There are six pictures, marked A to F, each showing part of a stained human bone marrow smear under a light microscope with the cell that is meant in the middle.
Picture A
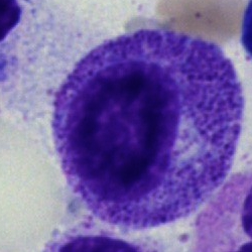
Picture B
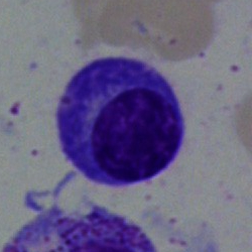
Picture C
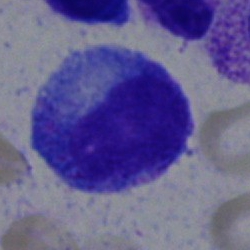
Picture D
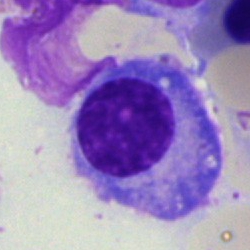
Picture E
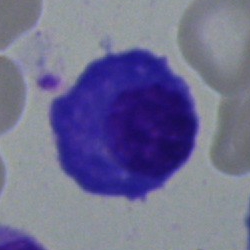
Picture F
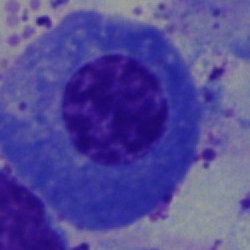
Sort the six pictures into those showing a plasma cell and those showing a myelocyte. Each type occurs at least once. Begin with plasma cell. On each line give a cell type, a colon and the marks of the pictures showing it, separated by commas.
plasma cell: B, D, E, F
myelocyte: A, C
